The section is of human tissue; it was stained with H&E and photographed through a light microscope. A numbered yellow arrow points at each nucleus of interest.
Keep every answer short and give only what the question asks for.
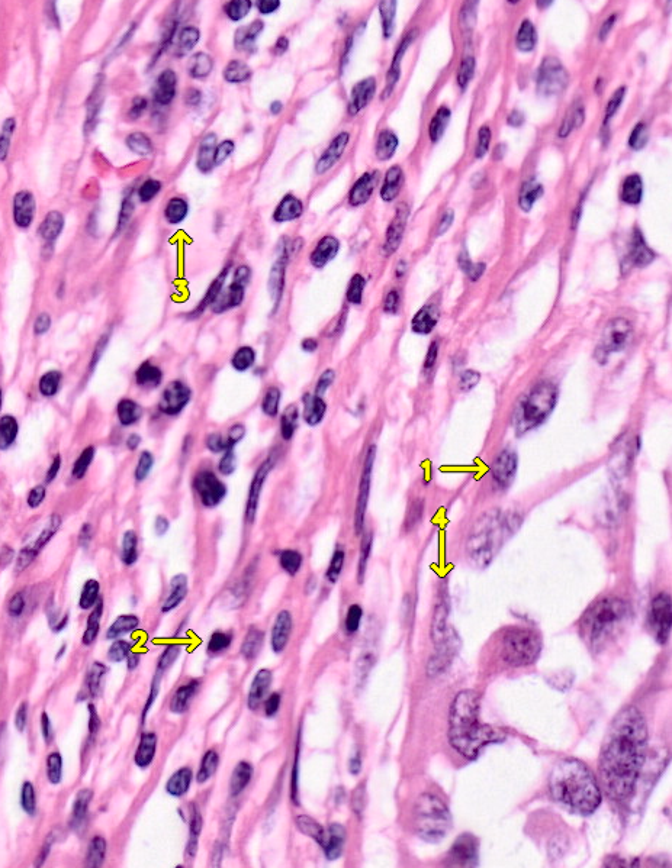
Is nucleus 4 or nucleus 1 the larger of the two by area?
1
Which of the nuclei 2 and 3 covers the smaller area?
2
